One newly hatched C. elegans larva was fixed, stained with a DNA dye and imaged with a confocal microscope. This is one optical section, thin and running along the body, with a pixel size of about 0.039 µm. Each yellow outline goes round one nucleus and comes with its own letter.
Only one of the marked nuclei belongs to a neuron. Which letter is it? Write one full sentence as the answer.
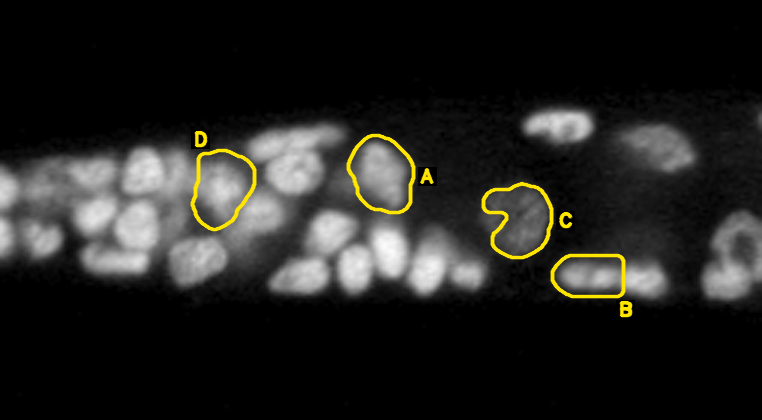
The one from a neuron is D.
